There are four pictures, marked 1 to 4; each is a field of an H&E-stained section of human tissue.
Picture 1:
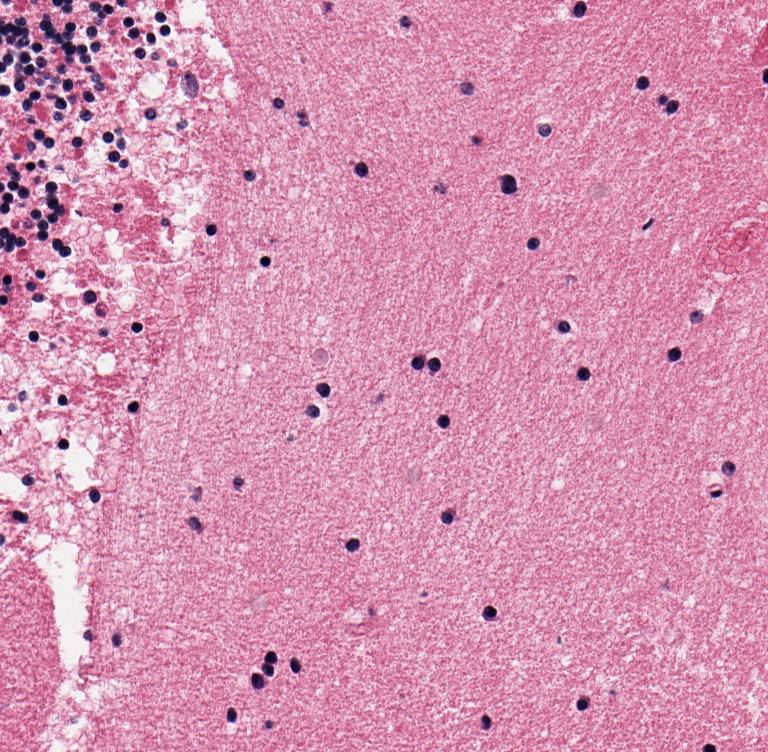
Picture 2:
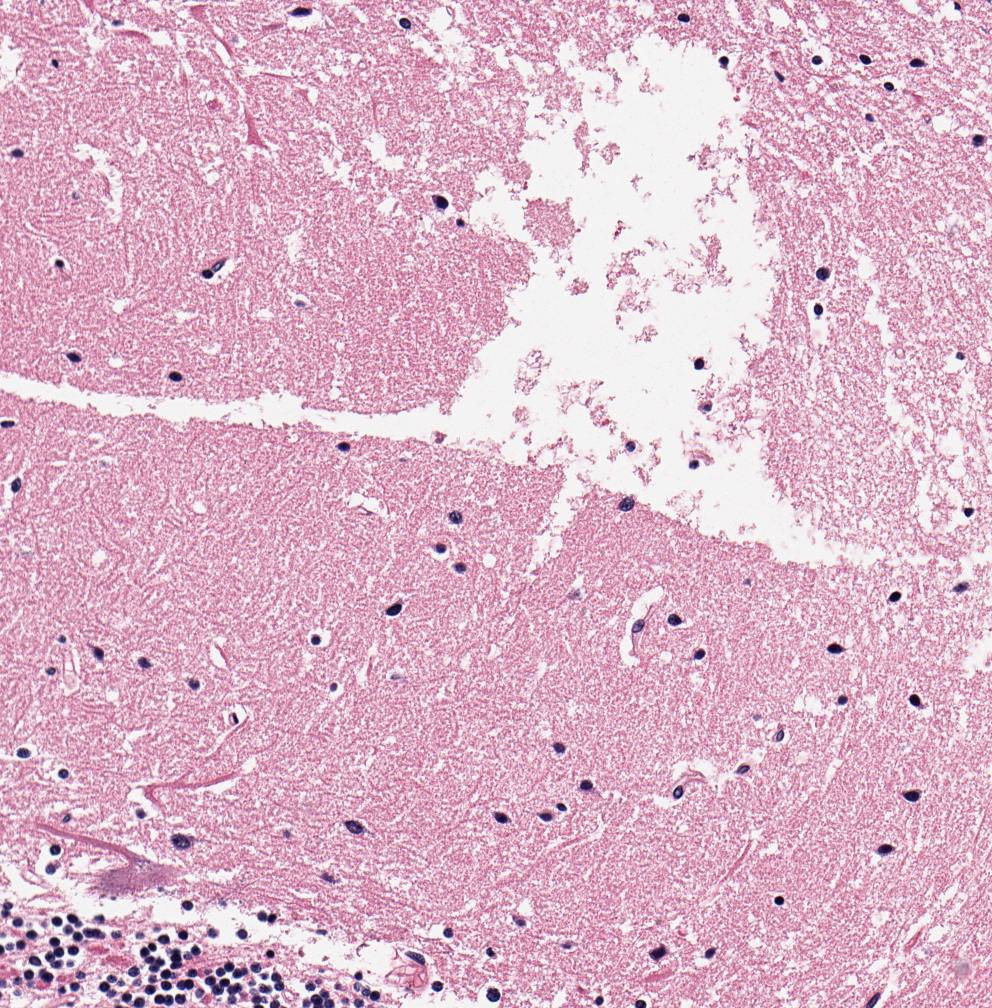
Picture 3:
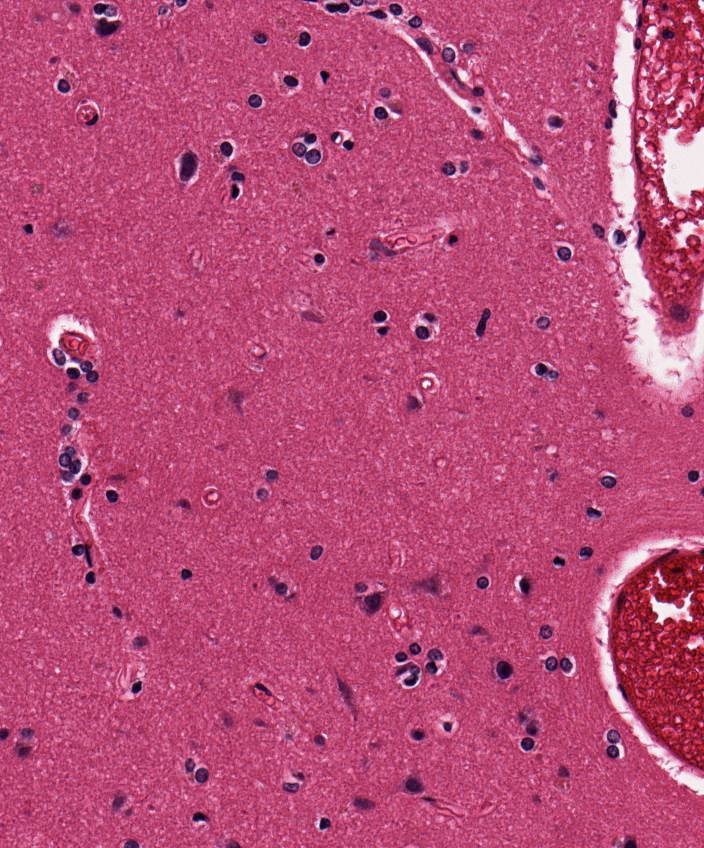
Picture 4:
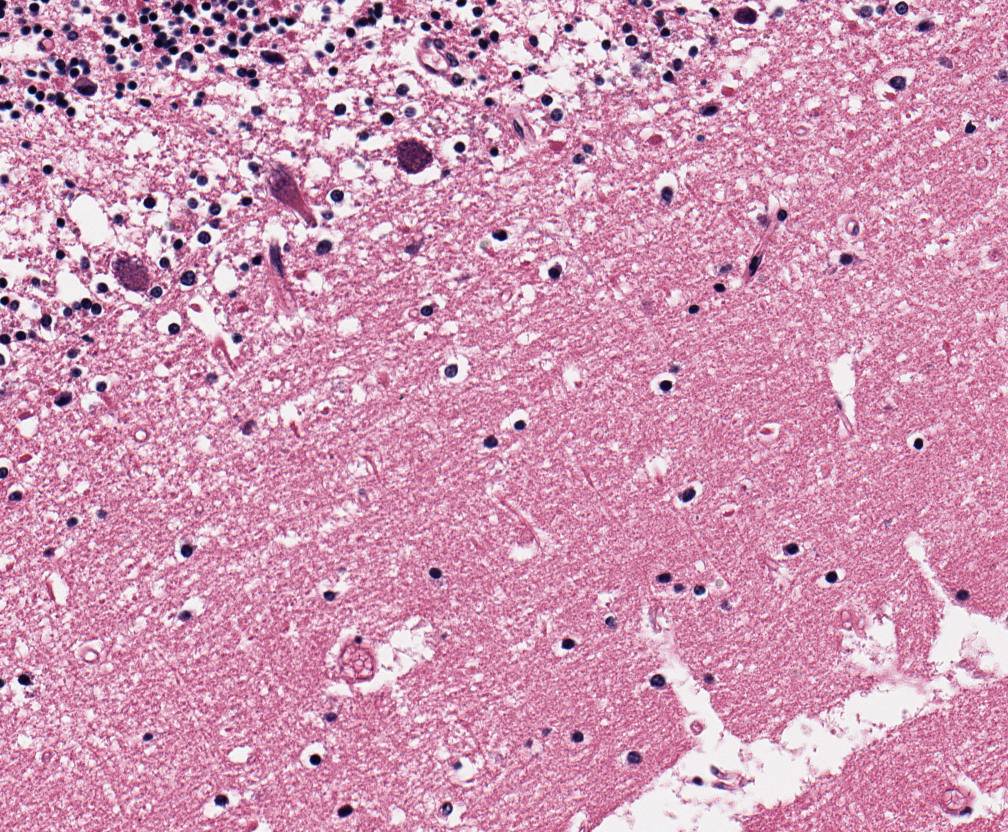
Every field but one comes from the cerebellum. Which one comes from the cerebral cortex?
3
